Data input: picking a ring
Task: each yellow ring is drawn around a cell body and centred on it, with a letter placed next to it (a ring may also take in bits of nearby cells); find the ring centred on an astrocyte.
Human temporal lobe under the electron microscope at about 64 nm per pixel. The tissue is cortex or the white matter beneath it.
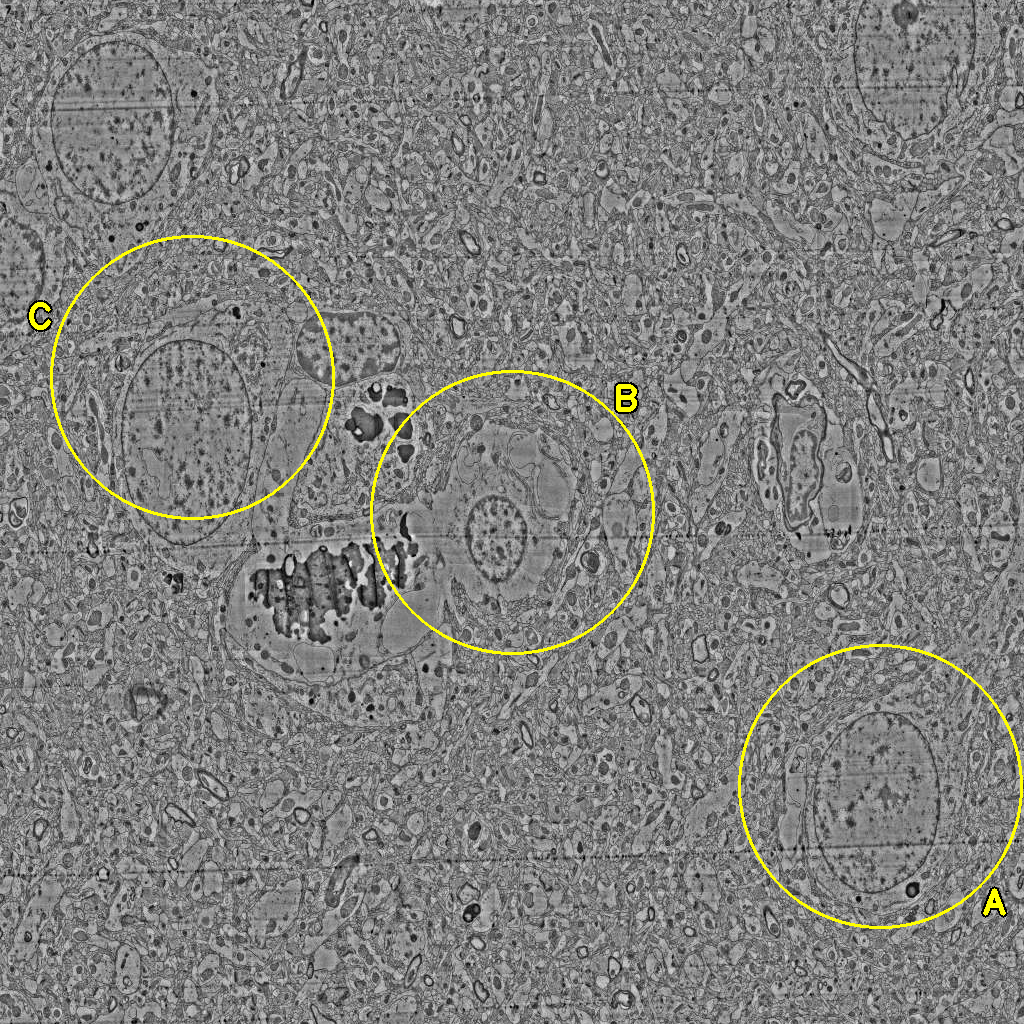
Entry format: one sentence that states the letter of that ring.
In the picture, the cell asked for sits at the centre of ring B.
